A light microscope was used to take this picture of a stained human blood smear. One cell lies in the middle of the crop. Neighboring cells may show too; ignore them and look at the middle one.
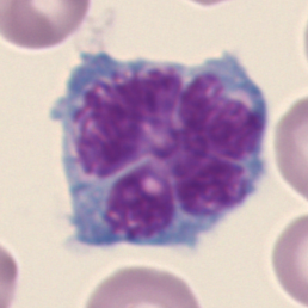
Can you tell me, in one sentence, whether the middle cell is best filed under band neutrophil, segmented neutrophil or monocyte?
This crop's central cell is a monocyte.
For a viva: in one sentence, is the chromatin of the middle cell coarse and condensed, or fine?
One feature to record is coarsely clumped chromatin.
